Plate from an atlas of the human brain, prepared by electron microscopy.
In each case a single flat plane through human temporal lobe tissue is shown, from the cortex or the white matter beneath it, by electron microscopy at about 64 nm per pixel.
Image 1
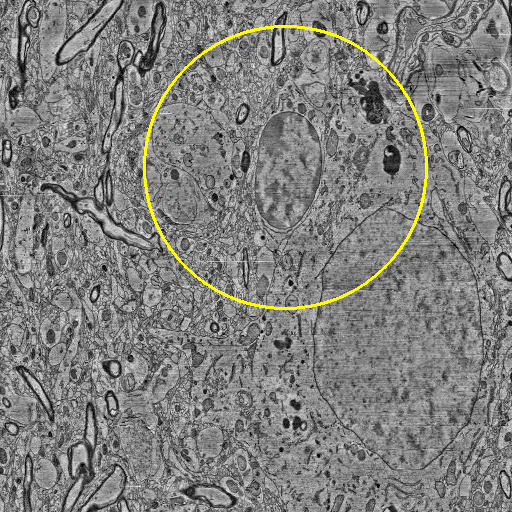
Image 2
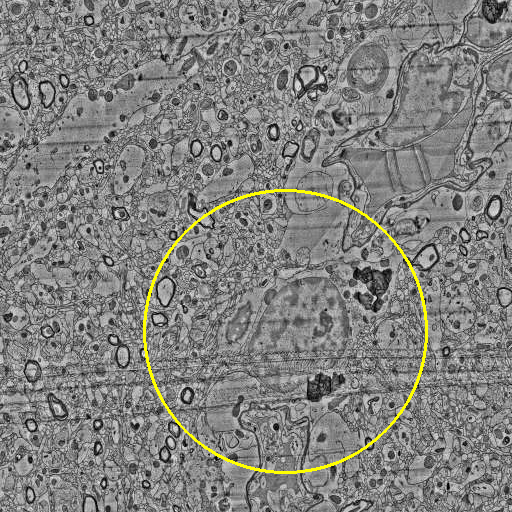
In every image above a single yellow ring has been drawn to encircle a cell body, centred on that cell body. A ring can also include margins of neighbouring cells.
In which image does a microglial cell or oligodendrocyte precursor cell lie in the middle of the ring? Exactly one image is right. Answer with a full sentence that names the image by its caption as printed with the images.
Image 1 holds the requested cell at the very centre of its ring.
